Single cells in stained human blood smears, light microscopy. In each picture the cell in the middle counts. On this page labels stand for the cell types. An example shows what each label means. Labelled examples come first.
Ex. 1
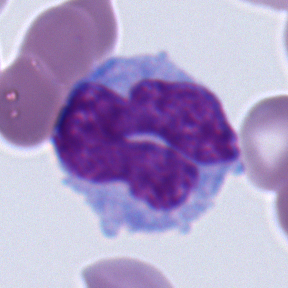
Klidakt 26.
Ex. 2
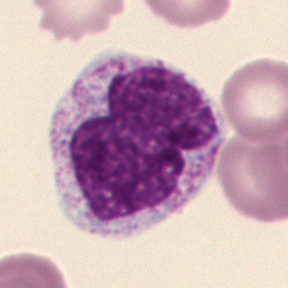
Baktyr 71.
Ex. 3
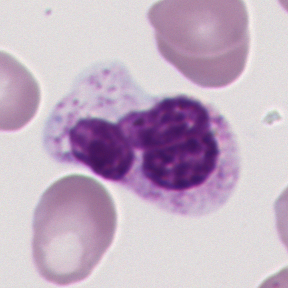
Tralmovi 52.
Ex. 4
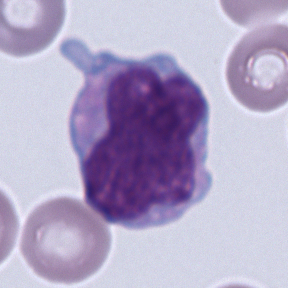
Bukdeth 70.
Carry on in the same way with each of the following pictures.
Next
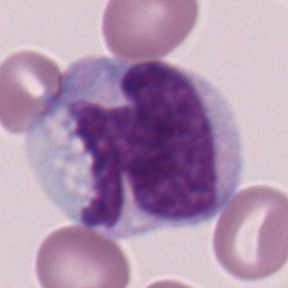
Klidakt 26.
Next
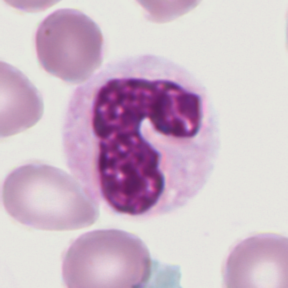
Baktyr 71.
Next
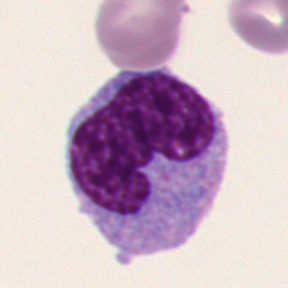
Klidakt 26.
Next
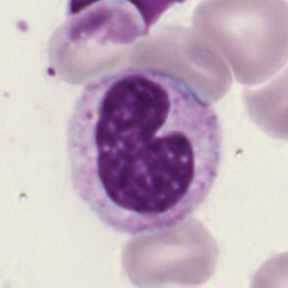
Baktyr 71.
